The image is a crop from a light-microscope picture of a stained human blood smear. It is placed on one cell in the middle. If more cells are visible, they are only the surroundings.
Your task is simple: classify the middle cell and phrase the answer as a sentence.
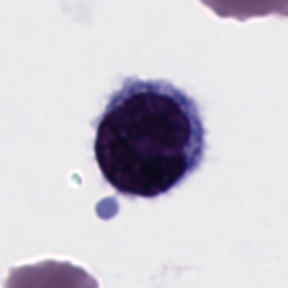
The centrally placed cell is classified as a hairy cell.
